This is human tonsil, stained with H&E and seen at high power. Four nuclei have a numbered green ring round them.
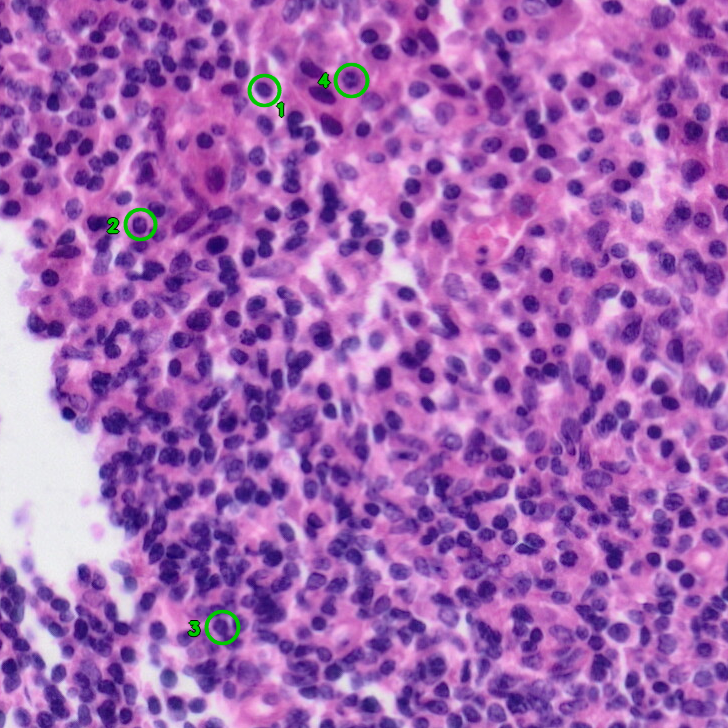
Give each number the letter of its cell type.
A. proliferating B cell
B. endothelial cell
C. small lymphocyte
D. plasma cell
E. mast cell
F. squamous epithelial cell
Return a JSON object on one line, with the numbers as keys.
{"1": "D", "2": "D", "3": "C", "4": "D"}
